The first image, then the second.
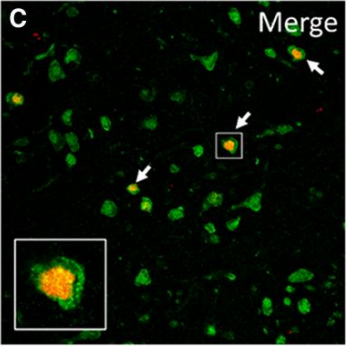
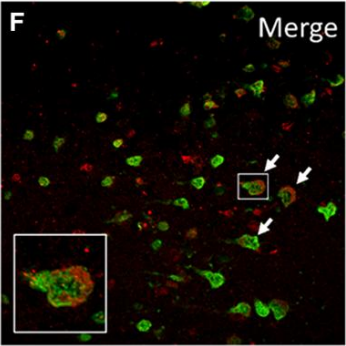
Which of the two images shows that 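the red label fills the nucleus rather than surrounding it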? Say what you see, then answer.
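First image: in the inset the red-yellow label forms a solid compact core inside the green cell body.
Answer: the first image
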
